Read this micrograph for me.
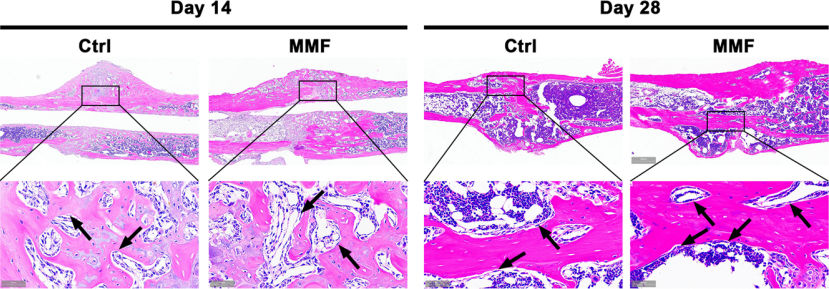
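This is fracture callus in H&E: the low-power views show a callus of pink bone trabeculae lying over the cortical bone, and the enlargements show these trabeculae at cell scale. Black arrows point to osteoblasts, which sit in a line along the trabecular surfaces. In some views the spaces between trabeculae are packed with small cells that have dark purple nuclei.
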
